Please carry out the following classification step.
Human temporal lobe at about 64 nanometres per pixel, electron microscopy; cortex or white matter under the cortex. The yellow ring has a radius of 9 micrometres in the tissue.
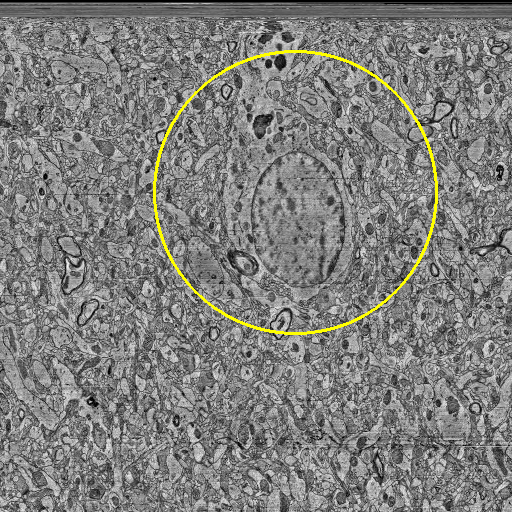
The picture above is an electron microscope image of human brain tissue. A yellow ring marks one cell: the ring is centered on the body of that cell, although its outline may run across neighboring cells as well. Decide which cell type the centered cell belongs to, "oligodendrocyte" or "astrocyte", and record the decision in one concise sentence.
The cell centered in the yellow ring is an astrocyte.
